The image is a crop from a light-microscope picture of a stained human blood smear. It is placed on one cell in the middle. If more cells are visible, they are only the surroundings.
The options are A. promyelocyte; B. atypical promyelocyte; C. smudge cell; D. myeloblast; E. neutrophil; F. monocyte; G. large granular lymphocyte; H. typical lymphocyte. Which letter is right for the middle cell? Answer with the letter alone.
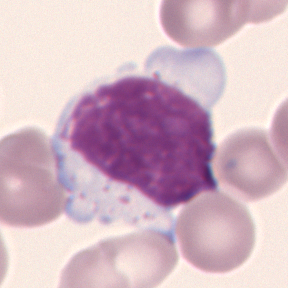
G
